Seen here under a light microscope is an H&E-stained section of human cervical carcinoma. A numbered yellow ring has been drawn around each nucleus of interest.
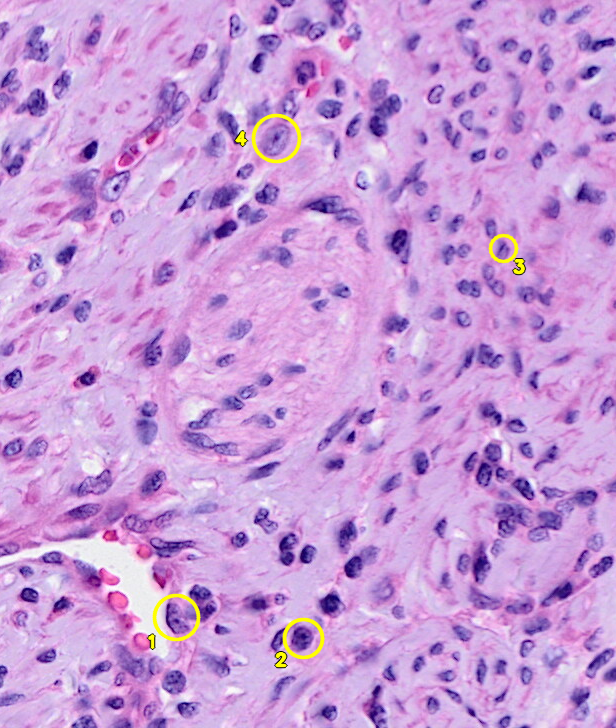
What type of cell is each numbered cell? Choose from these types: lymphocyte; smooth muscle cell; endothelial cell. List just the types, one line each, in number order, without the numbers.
endothelial cell
lymphocyte
smooth muscle cell
endothelial cell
